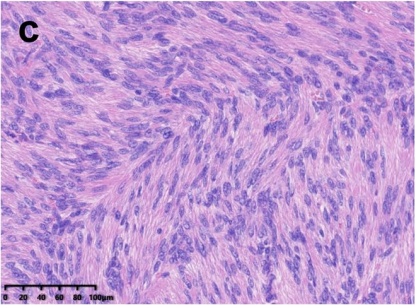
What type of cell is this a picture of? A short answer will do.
Spindle-shaped tumor cells.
